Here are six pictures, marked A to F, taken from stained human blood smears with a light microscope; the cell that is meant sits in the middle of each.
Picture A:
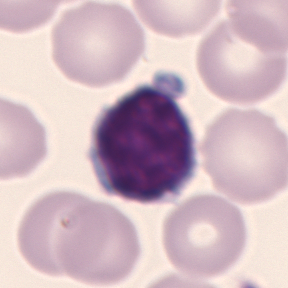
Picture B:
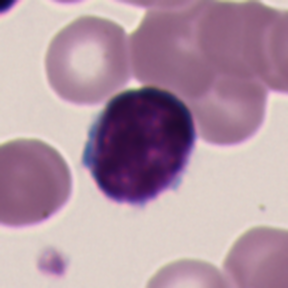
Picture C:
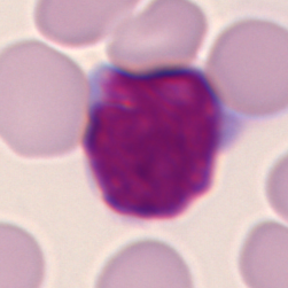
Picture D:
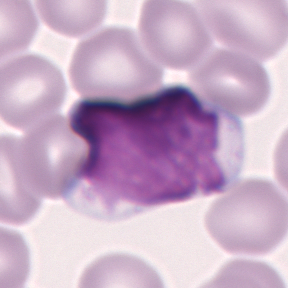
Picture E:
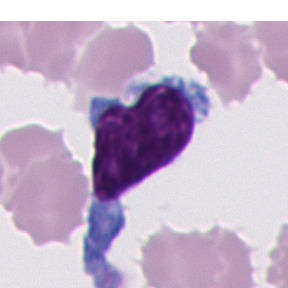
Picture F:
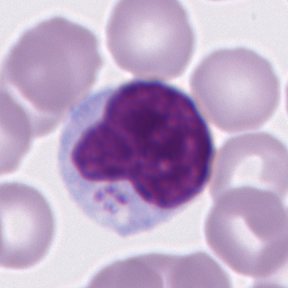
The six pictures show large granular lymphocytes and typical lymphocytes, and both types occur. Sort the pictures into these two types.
A: typical lymphocyte
B: typical lymphocyte
C: typical lymphocyte
D: large granular lymphocyte
E: typical lymphocyte
F: large granular lymphocyte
